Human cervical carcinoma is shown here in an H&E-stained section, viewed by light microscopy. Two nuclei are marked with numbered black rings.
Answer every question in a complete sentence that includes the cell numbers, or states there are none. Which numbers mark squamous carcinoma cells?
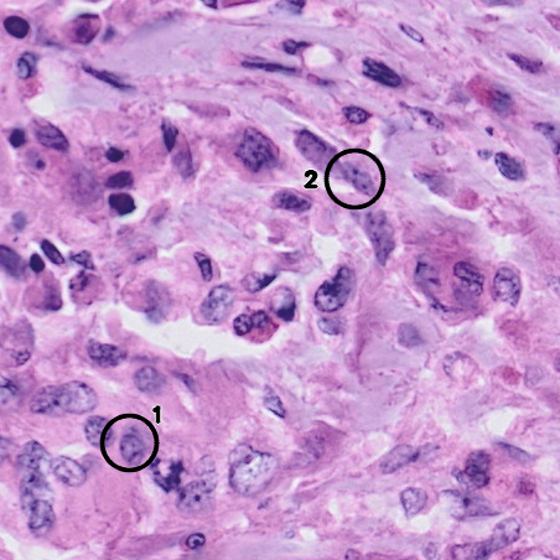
Among the numbered nuclei, only the one labelled 1 belongs to a squamous carcinoma cell.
